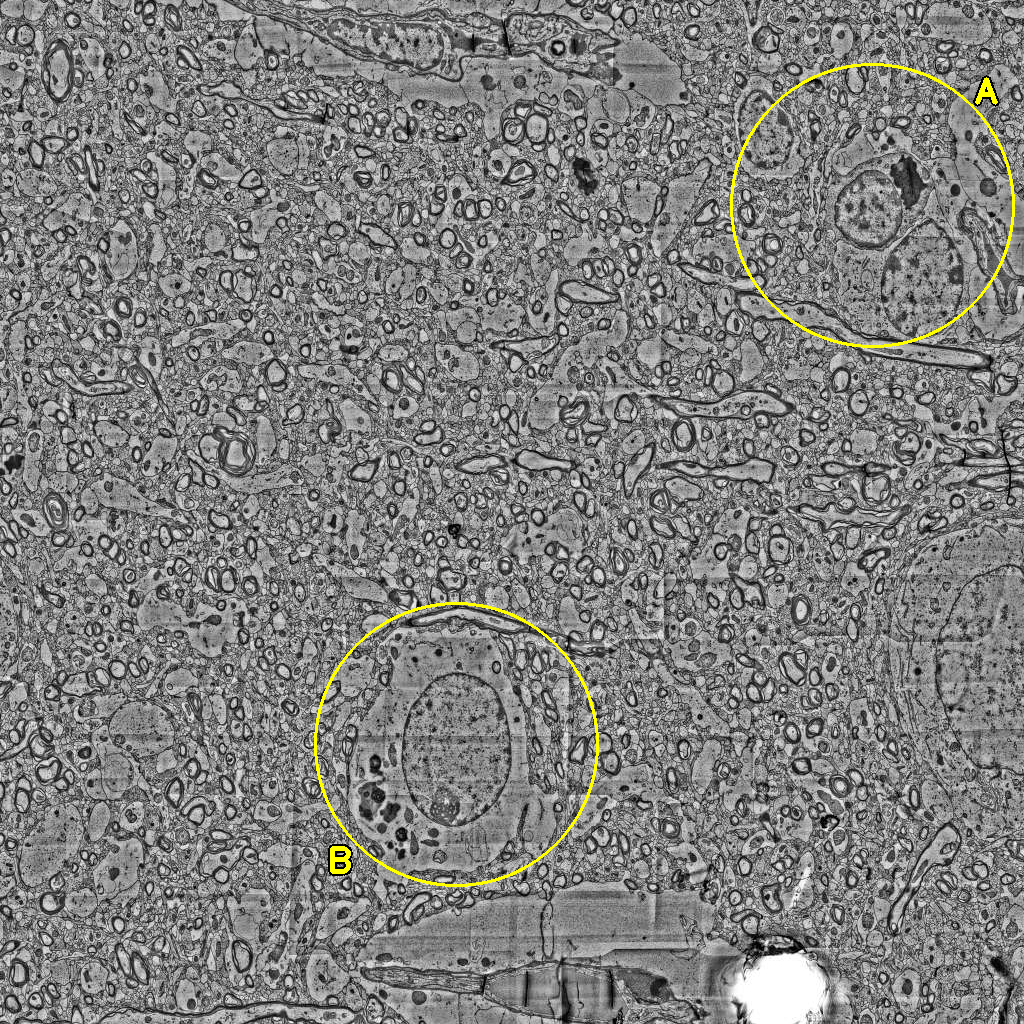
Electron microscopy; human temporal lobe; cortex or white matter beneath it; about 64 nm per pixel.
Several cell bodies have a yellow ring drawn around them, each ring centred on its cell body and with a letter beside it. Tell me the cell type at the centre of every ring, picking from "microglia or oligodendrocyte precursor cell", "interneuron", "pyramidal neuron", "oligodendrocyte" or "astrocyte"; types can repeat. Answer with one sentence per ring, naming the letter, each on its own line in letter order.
In ring A, the central cell is an oligodendrocyte.
In ring B, the central cell is an astrocyte.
